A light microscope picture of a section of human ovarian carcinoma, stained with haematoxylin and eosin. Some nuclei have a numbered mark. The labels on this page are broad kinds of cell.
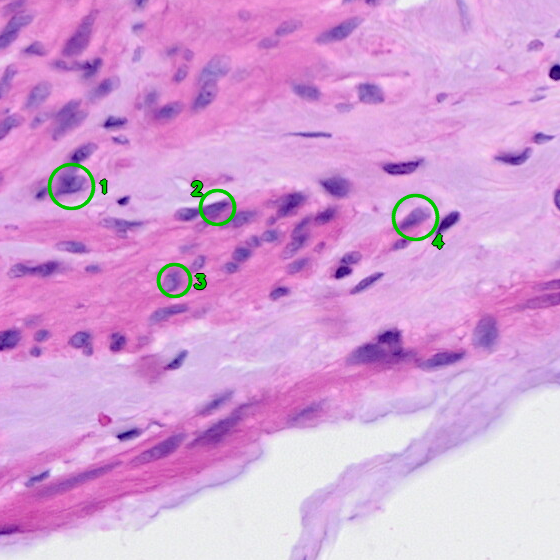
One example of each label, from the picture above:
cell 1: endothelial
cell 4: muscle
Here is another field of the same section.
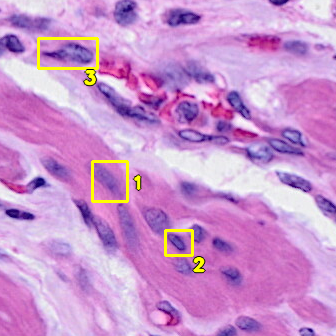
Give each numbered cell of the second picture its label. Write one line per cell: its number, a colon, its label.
1: muscle
2: muscle
3: endothelial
